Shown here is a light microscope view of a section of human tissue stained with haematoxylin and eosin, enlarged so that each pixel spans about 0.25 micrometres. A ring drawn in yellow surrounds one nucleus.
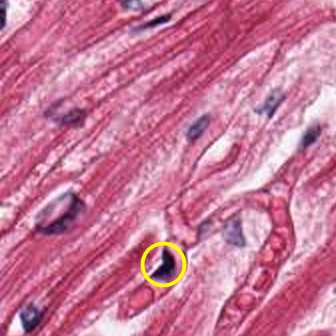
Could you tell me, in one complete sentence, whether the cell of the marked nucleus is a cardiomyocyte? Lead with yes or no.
No, the owner of the marked nucleus is a supporting cell, not a cardiomyocyte.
